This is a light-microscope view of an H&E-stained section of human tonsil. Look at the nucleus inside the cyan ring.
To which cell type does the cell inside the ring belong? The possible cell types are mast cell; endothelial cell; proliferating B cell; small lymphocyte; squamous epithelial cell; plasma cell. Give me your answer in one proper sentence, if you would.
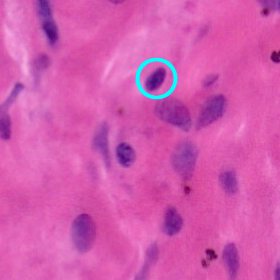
In this section of tissue, the cell inside the ring is a mast cell.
